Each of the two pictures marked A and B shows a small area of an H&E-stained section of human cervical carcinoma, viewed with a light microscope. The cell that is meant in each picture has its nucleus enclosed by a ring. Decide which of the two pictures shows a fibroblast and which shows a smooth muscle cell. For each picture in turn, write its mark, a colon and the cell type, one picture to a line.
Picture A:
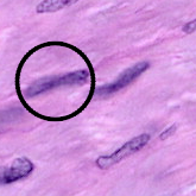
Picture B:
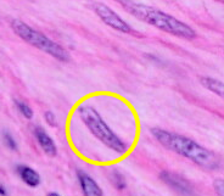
A: fibroblast
B: smooth muscle cell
